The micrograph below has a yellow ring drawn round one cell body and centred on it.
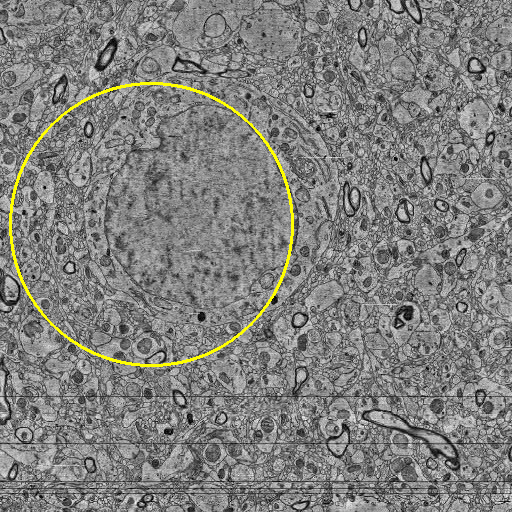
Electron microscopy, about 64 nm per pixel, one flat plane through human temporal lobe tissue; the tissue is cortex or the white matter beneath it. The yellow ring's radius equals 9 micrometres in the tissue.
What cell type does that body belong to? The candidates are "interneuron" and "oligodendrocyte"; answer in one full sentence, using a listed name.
This is an interneuron, the cell whose body lies at the centre of the ring.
